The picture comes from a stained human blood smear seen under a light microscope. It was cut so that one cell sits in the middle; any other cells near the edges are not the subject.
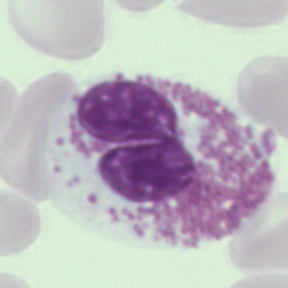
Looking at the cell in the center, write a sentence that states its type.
The cell the crop is centered on is an eosinophil.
